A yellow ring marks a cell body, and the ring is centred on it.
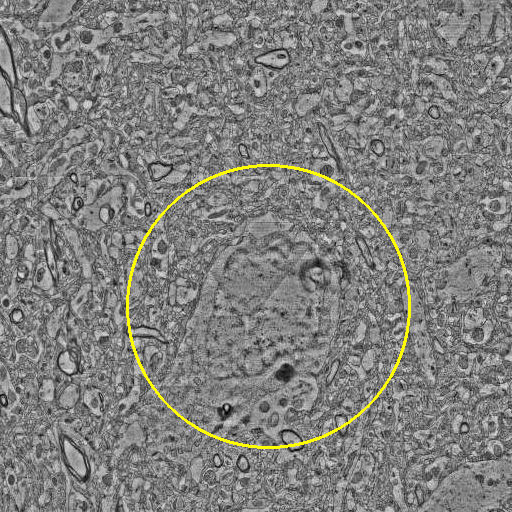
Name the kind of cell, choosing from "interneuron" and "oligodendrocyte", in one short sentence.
The marked cell body belongs to an interneuron.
